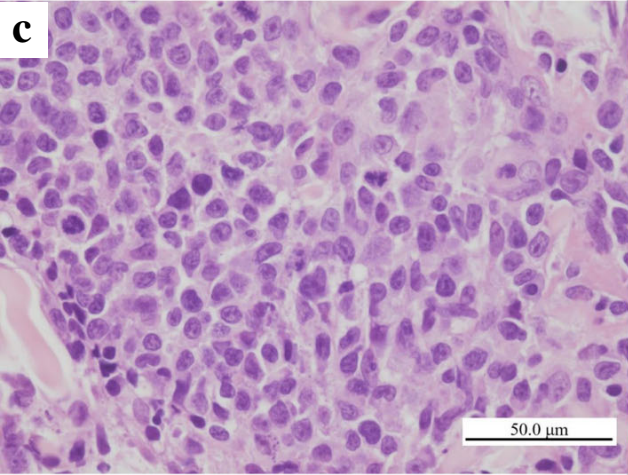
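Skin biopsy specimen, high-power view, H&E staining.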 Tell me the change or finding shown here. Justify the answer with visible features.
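Anisonucleosis. Nuclei in the sheet of cells vary clearly in size. Nuclear outlines range from round to irregular and indented.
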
